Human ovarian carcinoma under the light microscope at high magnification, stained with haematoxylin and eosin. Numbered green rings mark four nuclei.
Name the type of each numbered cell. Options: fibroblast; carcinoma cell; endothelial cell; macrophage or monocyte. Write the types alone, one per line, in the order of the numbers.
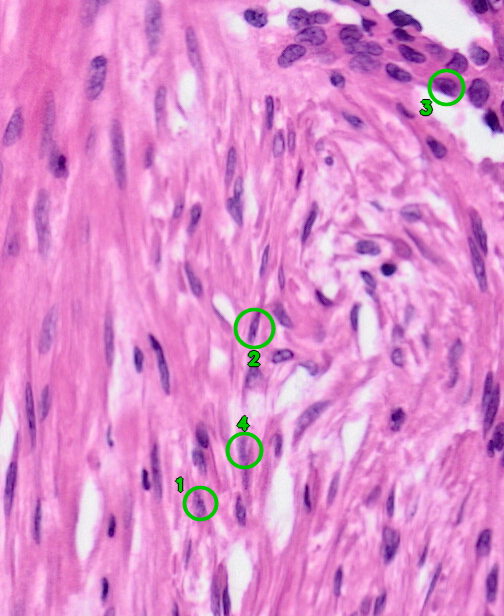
fibroblast
fibroblast
carcinoma cell
fibroblast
